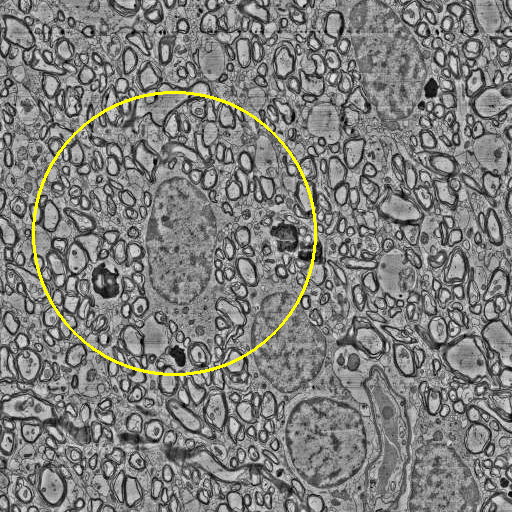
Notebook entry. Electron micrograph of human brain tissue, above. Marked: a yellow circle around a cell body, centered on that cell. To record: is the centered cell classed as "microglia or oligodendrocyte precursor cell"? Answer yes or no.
No, the centered cell belongs to another kind.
